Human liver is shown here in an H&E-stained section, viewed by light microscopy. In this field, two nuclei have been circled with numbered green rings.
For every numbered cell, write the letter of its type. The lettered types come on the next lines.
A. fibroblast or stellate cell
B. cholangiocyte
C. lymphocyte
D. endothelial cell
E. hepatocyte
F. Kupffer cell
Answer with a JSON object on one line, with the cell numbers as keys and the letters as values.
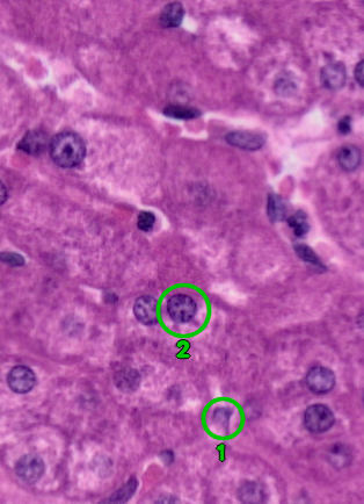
{"1": "D", "2": "E"}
